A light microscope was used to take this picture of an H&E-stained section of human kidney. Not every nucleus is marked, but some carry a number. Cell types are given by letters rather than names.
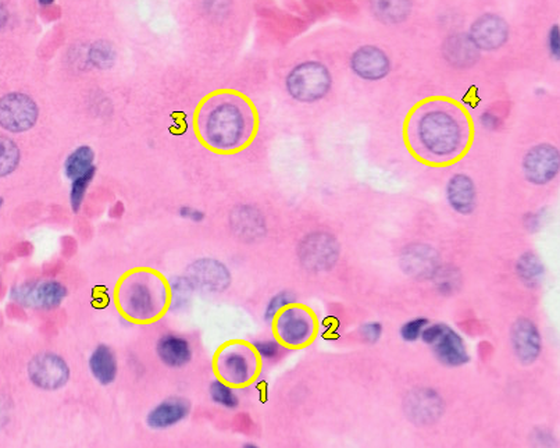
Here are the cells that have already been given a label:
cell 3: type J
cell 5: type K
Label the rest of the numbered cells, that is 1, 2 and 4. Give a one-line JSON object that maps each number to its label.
{"1": "type K", "2": "type K", "4": "type J"}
